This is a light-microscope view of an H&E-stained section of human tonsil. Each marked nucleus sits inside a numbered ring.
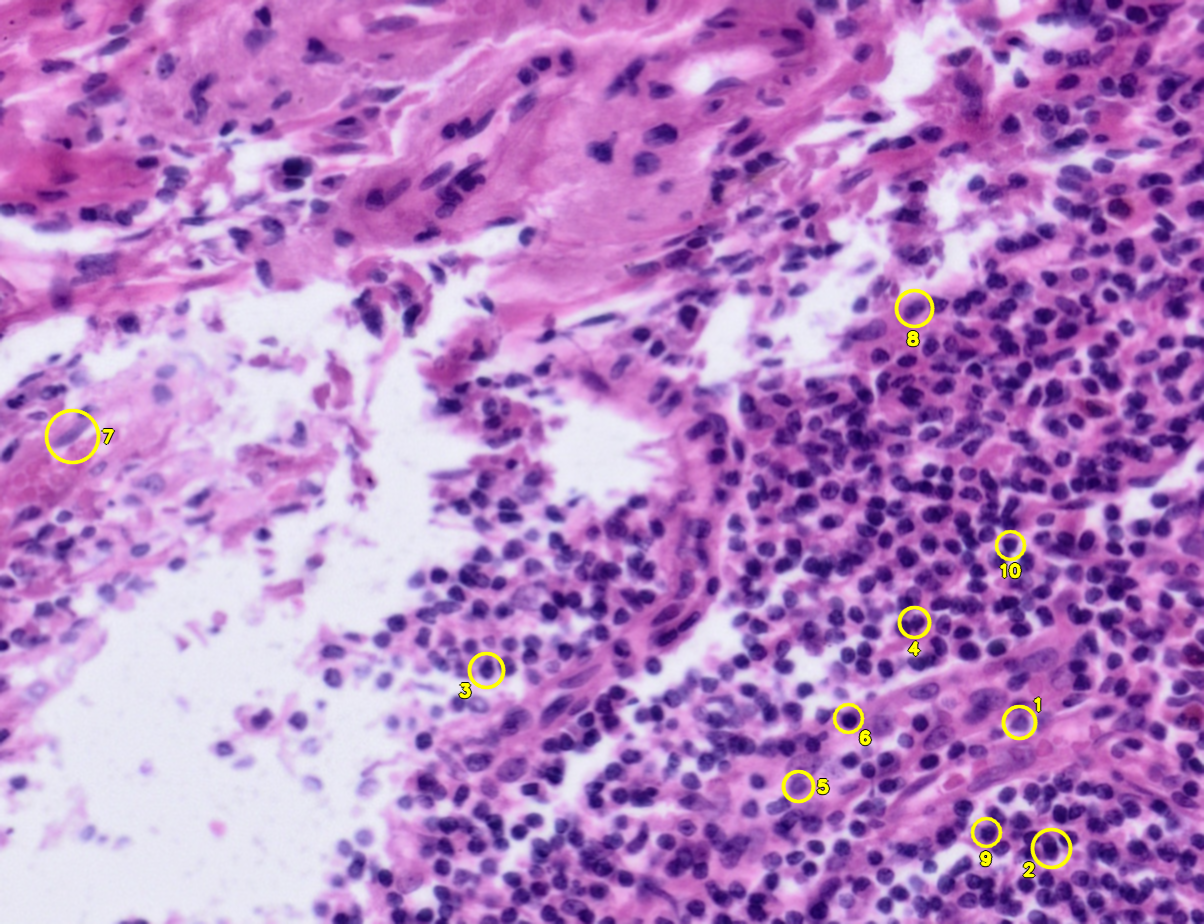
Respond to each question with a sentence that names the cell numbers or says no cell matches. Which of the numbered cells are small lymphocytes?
On this slide, the cells numbered 2, 3, 4, 9 and 10 are small lymphocytes.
